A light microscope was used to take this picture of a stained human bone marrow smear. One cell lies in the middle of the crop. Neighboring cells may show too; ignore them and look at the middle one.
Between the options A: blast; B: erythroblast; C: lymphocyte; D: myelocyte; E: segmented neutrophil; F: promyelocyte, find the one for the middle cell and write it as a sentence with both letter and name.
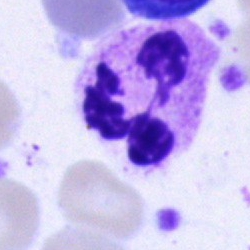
The one cell at the centre is a segmented neutrophil, as correctly stated in option E.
